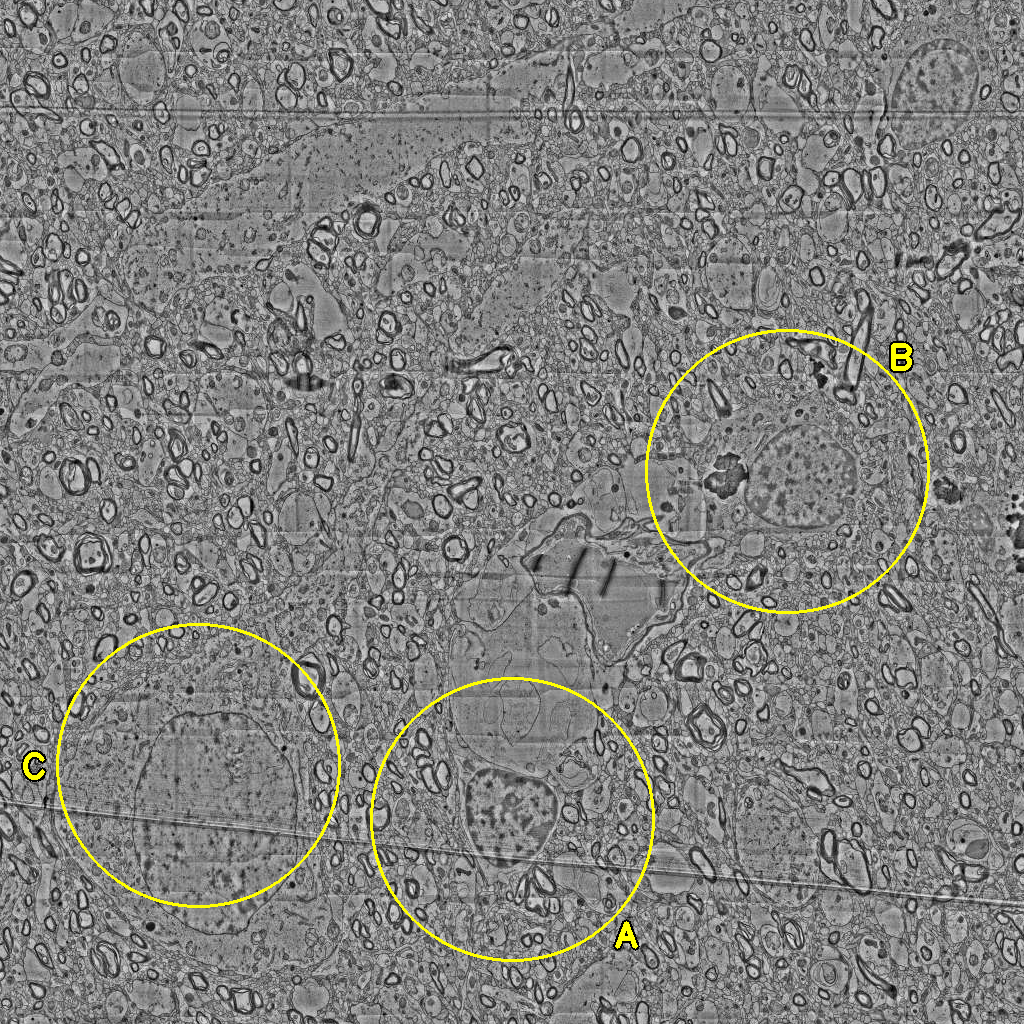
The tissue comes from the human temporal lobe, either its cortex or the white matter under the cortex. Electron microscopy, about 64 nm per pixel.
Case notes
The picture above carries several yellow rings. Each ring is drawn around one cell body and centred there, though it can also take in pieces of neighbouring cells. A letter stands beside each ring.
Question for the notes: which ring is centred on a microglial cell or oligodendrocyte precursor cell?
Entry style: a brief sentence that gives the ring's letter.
Ring A is centred on it.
